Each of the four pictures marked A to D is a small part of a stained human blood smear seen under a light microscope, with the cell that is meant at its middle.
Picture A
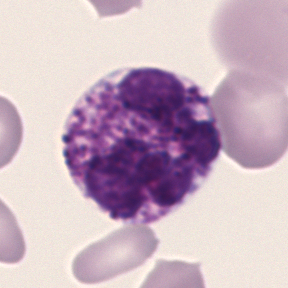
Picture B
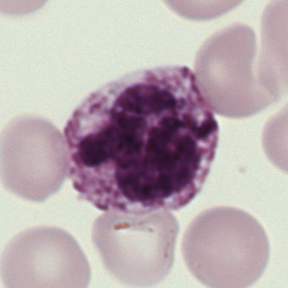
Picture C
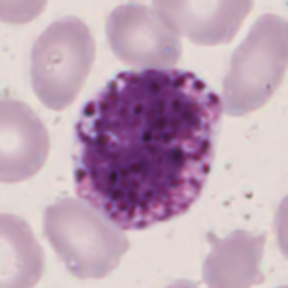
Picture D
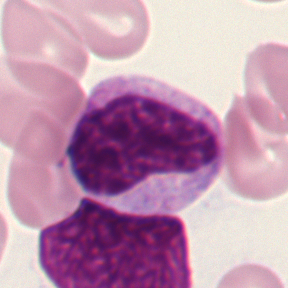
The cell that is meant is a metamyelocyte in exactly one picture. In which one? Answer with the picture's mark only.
D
